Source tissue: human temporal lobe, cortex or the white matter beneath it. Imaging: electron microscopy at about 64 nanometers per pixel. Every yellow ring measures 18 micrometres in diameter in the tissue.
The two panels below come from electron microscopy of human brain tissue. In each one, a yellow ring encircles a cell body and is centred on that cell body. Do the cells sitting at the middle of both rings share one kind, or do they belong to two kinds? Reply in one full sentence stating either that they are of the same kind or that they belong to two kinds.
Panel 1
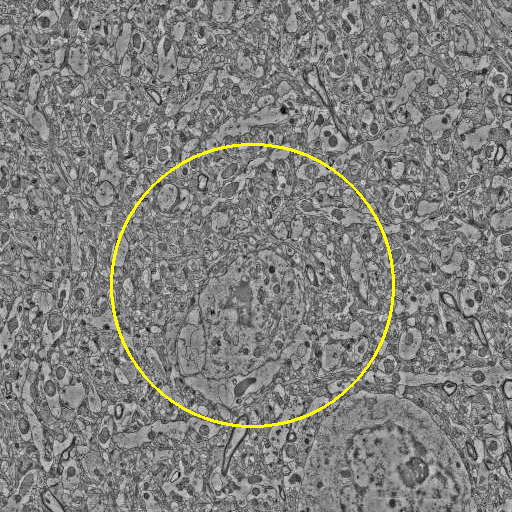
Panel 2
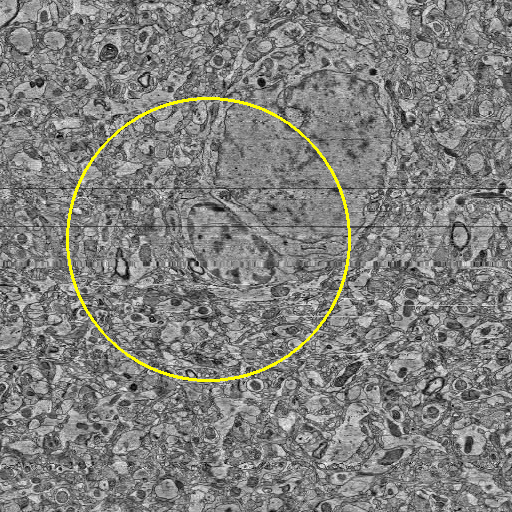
The cells at the centres of the two rings belong to two kinds.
